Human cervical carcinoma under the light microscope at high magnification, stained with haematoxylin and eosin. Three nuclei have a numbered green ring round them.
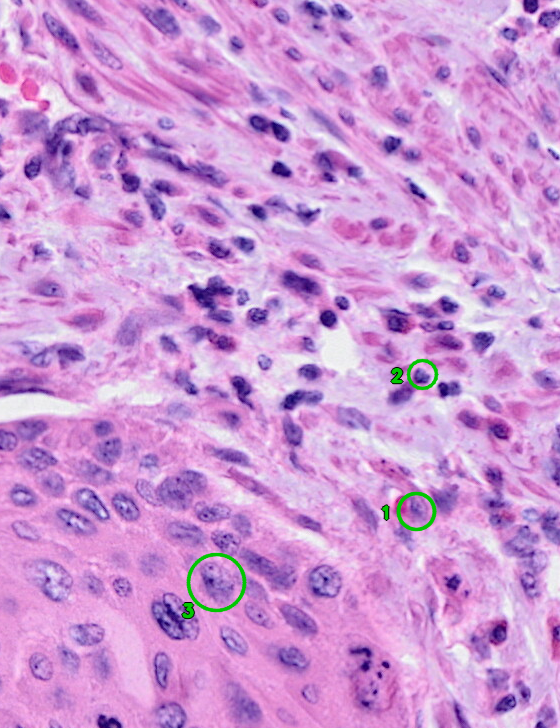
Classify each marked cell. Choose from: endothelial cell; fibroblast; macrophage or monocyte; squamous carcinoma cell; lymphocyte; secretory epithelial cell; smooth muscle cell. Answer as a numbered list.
1. endothelial cell
2. lymphocyte
3. squamous carcinoma cell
